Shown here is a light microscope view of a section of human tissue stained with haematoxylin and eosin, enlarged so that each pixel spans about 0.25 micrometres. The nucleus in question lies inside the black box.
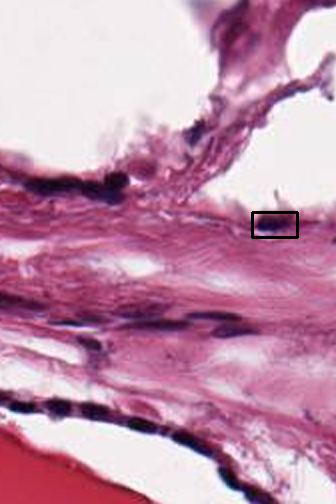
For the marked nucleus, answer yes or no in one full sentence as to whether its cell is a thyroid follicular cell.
No, rather than a thyroid follicular cell, it is a supporting cell that contains the marked nucleus.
